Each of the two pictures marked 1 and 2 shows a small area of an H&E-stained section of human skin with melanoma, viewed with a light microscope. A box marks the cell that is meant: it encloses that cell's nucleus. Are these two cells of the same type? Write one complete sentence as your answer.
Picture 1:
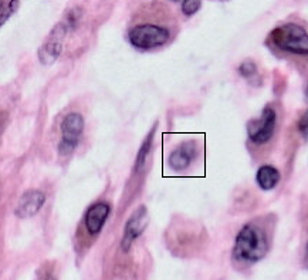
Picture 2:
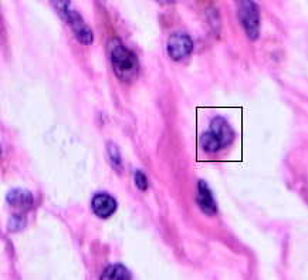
Yes; the cells in both pictures are “macrophages or monocytes”.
